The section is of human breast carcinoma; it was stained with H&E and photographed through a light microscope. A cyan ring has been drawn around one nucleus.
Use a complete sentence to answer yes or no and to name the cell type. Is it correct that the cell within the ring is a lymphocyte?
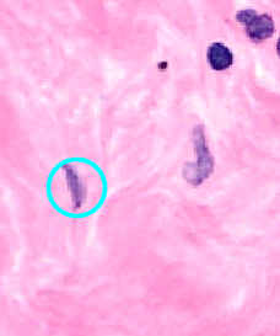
No, just to correct that, the cell within the ring is a fibroblast and not a lymphocyte.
